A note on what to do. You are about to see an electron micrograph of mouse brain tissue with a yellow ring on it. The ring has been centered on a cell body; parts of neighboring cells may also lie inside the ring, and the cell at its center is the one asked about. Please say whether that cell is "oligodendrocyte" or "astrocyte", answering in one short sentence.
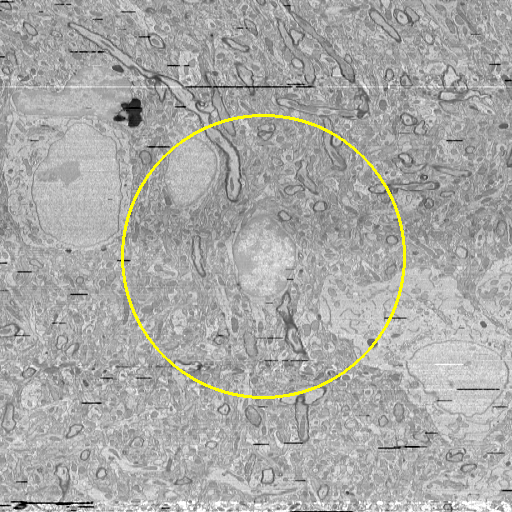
The yellow ring sits on an oligodendrocyte.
